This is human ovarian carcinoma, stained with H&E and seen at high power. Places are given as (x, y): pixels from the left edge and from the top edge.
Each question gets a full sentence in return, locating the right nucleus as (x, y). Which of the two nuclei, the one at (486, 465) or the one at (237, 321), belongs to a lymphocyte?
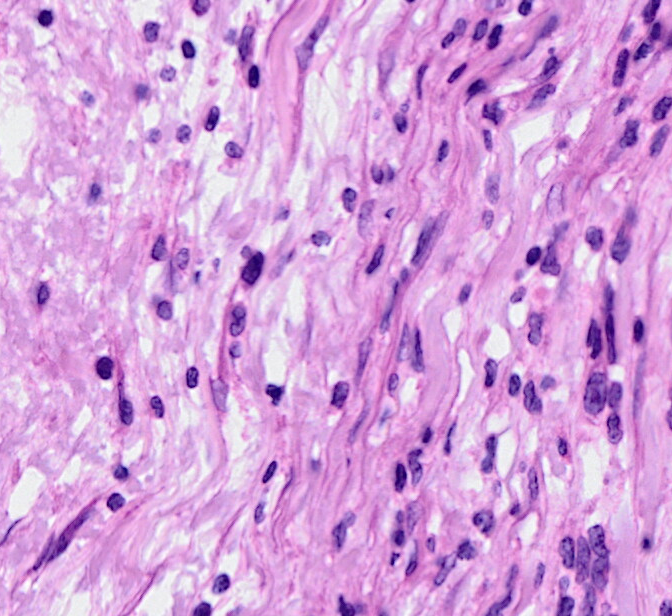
Of the two, the nucleus at (486, 465) is the one contained in a lymphocyte.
